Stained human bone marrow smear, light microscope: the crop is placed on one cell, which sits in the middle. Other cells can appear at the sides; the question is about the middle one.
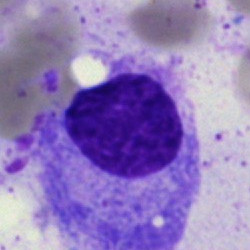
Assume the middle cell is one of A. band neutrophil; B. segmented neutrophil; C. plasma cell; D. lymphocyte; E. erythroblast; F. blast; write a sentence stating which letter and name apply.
The central cell is a plasma cell, which makes option C the right answer.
